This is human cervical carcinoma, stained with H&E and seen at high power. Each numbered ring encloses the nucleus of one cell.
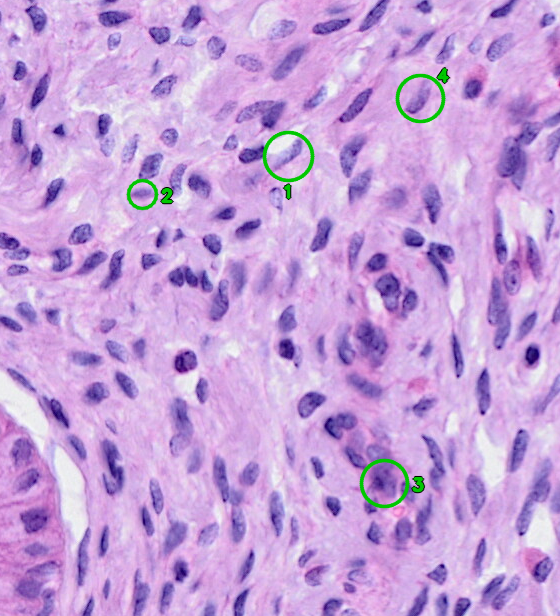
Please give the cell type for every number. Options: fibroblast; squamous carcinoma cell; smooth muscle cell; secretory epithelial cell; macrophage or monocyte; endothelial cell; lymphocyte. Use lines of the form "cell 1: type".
cell 1: fibroblast
cell 2: fibroblast
cell 3: endothelial cell
cell 4: fibroblast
